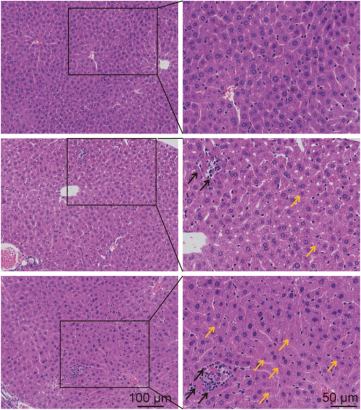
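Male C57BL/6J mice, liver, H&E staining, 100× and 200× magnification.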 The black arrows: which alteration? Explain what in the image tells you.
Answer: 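Infiltration of inflammatory cells. The black arrows point at a cluster of small, densely packed, dark purple nuclei. The cluster lies among hepatocytes with larger, paler round nuclei.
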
